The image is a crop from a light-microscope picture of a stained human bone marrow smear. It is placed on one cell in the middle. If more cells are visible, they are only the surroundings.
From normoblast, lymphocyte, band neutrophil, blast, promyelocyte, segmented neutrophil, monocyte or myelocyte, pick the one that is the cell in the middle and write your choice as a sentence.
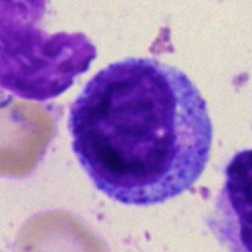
The single cell at the center of the crop is a myelocyte.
